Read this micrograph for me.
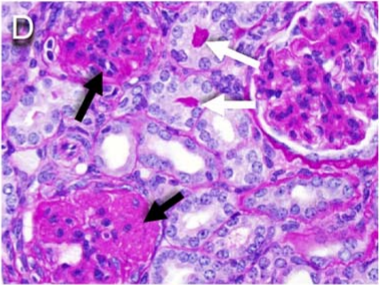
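Renal cortex with three glomeruli and surrounding tubules. Small homogeneous magenta casts lie in some tubular lumens. Tubular epithelium is cuboidal with round nuclei, and tubules are outlined by magenta basement membranes.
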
